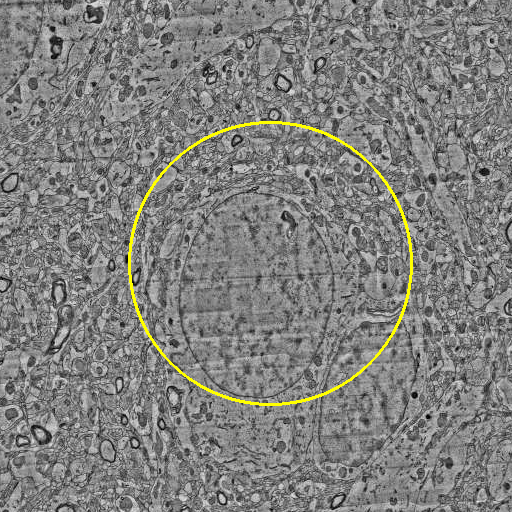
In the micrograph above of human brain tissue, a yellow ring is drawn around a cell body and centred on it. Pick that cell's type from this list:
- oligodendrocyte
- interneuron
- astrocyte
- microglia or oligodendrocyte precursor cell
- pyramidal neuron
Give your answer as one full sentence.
Going by the list, a pyramidal neuron is the cell on which the yellow ring is centred.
